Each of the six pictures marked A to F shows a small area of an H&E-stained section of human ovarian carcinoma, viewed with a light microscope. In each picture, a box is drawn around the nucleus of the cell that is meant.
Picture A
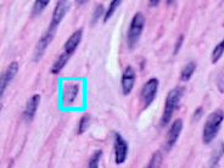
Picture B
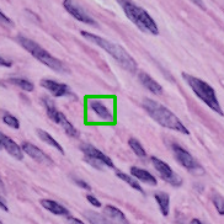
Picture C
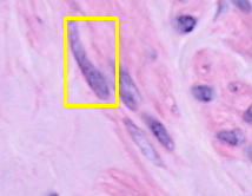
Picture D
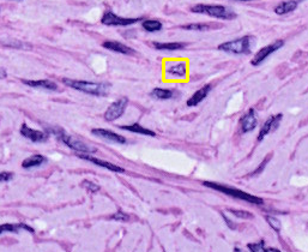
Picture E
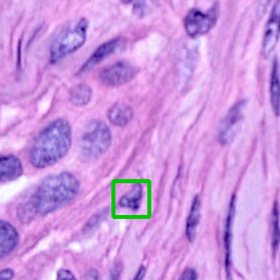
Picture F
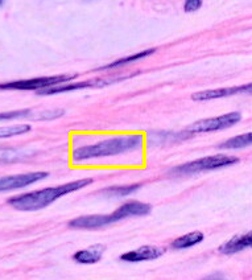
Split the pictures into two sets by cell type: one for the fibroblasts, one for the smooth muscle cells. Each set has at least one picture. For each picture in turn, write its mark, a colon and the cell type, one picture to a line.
A: smooth muscle cell
B: smooth muscle cell
C: smooth muscle cell
D: fibroblast
E: fibroblast
F: smooth muscle cell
